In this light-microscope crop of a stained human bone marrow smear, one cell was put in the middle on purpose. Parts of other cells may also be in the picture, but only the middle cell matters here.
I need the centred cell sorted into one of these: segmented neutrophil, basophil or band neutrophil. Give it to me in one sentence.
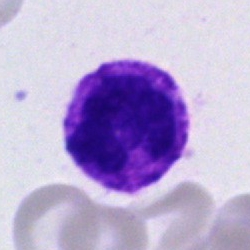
In this crop, the cell at the very middle is a basophil.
